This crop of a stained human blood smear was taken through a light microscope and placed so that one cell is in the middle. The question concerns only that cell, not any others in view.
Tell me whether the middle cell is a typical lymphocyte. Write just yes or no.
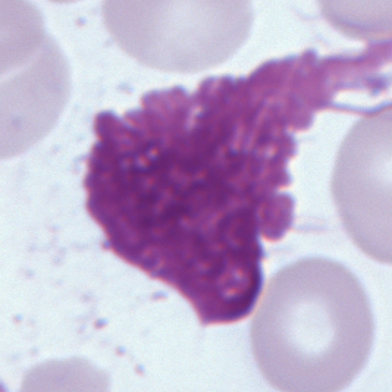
no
